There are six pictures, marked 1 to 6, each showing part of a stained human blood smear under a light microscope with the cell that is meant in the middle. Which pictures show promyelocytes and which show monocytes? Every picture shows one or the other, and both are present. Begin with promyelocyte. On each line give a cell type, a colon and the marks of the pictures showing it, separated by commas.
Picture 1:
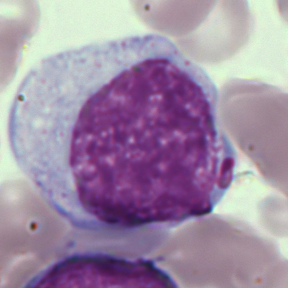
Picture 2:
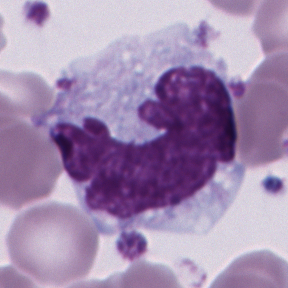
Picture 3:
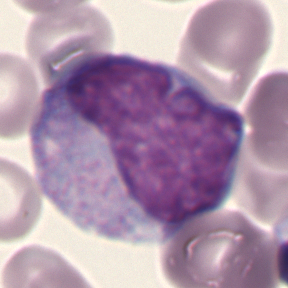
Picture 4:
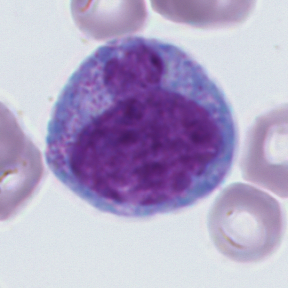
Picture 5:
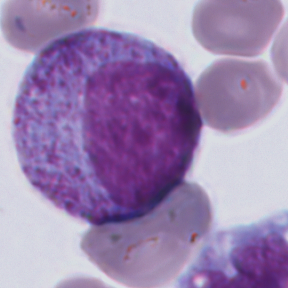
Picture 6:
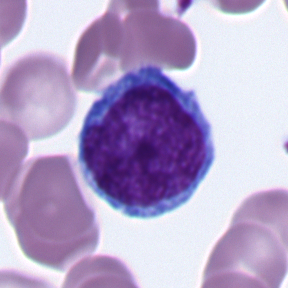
promyelocyte: 1, 3, 4, 5
monocyte: 2, 6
